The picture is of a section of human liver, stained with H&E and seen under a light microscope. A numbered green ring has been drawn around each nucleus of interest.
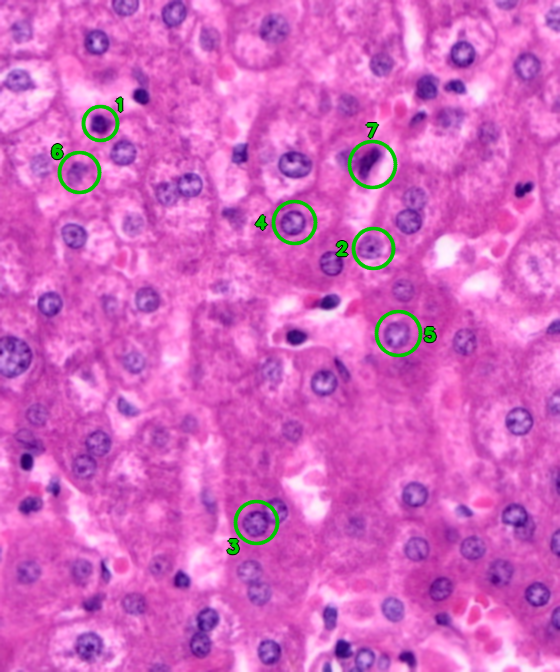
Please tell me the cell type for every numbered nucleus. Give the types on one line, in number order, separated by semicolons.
fibroblast or stellate cell; hepatocyte; hepatocyte; hepatocyte; hepatocyte; endothelial cell; Kupffer cell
